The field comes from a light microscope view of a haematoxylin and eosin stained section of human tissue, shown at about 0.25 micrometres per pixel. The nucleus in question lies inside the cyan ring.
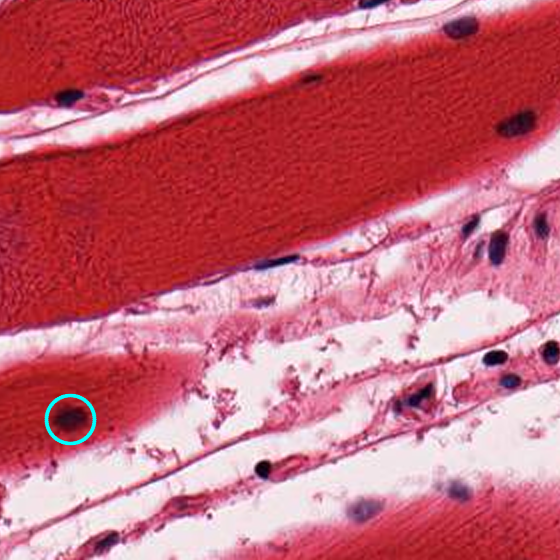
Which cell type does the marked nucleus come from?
skeletal muscle fibre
